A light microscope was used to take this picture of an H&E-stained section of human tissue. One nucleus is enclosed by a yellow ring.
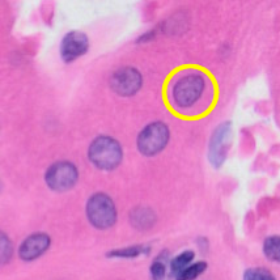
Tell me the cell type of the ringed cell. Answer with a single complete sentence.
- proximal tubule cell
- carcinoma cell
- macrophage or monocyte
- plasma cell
In the tissue at hand, the ringed cell is a proximal tubule cell.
